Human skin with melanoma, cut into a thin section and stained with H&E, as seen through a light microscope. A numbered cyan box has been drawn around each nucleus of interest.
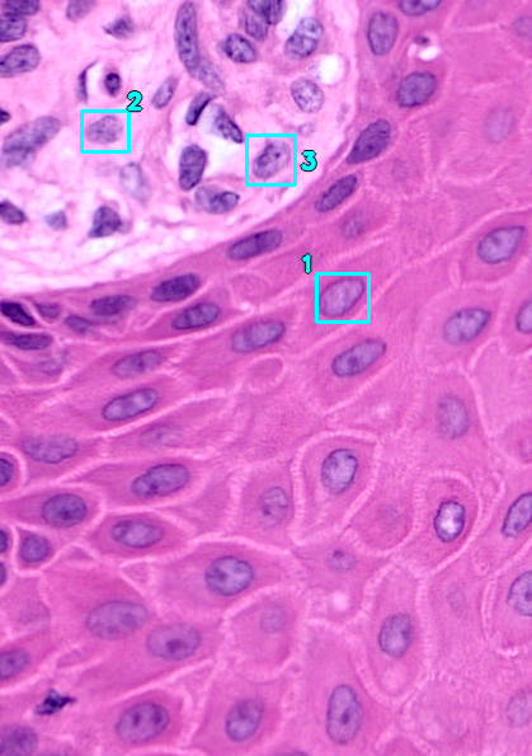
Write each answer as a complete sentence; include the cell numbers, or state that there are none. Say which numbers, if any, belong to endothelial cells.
Of all the numbered cells, only one is an endothelial cell, and that is cell 3.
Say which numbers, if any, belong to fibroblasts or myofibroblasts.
Cell 2 is a fibroblast or myofibroblast, which is true of none of the other numbered cells.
